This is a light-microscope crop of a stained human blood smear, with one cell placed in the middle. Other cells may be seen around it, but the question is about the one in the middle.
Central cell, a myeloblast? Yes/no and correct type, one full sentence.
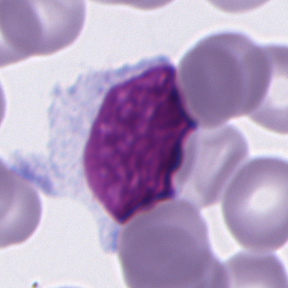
No, the centered cell is a typical lymphocyte and not a myeloblast at all.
